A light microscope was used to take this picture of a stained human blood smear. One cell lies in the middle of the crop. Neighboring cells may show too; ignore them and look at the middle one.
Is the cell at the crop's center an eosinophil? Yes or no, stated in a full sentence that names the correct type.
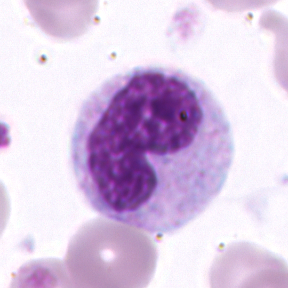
No, in this crop the central cell is a band neutrophil instead of an eosinophil.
